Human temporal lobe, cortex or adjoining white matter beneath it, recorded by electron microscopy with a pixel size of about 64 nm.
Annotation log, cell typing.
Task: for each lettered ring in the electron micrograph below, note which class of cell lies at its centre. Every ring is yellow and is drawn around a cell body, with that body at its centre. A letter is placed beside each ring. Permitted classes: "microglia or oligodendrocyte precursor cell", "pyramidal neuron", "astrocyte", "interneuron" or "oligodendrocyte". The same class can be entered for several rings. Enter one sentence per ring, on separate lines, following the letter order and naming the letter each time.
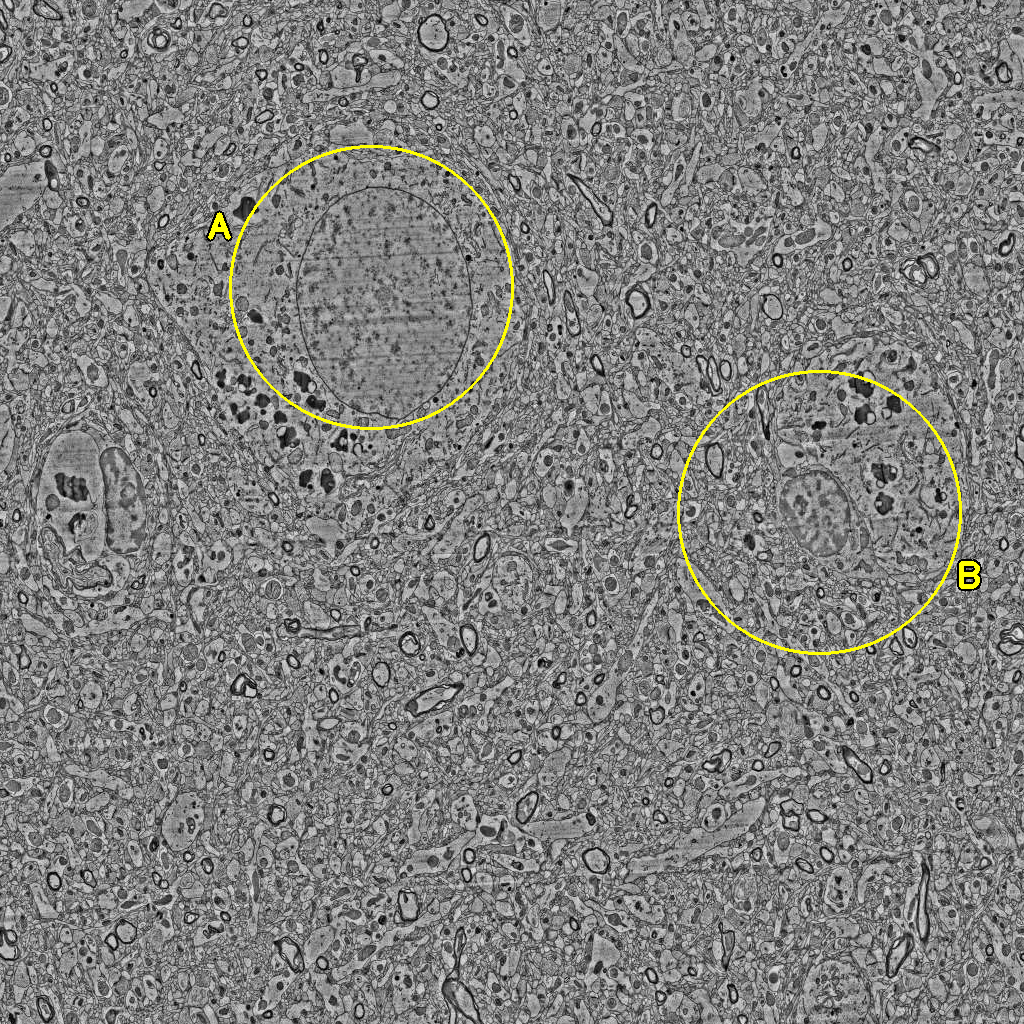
The cell at the centre of ring A is a pyramidal neuron.
The cell at the centre of ring B is an oligodendrocyte.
